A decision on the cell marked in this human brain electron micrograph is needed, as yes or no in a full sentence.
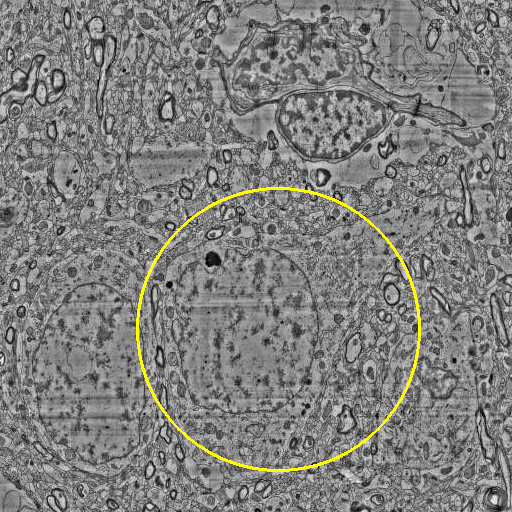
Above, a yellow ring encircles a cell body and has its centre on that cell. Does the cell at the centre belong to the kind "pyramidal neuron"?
Yes, the kind given fits the cell at the centre of the ring in the picture.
